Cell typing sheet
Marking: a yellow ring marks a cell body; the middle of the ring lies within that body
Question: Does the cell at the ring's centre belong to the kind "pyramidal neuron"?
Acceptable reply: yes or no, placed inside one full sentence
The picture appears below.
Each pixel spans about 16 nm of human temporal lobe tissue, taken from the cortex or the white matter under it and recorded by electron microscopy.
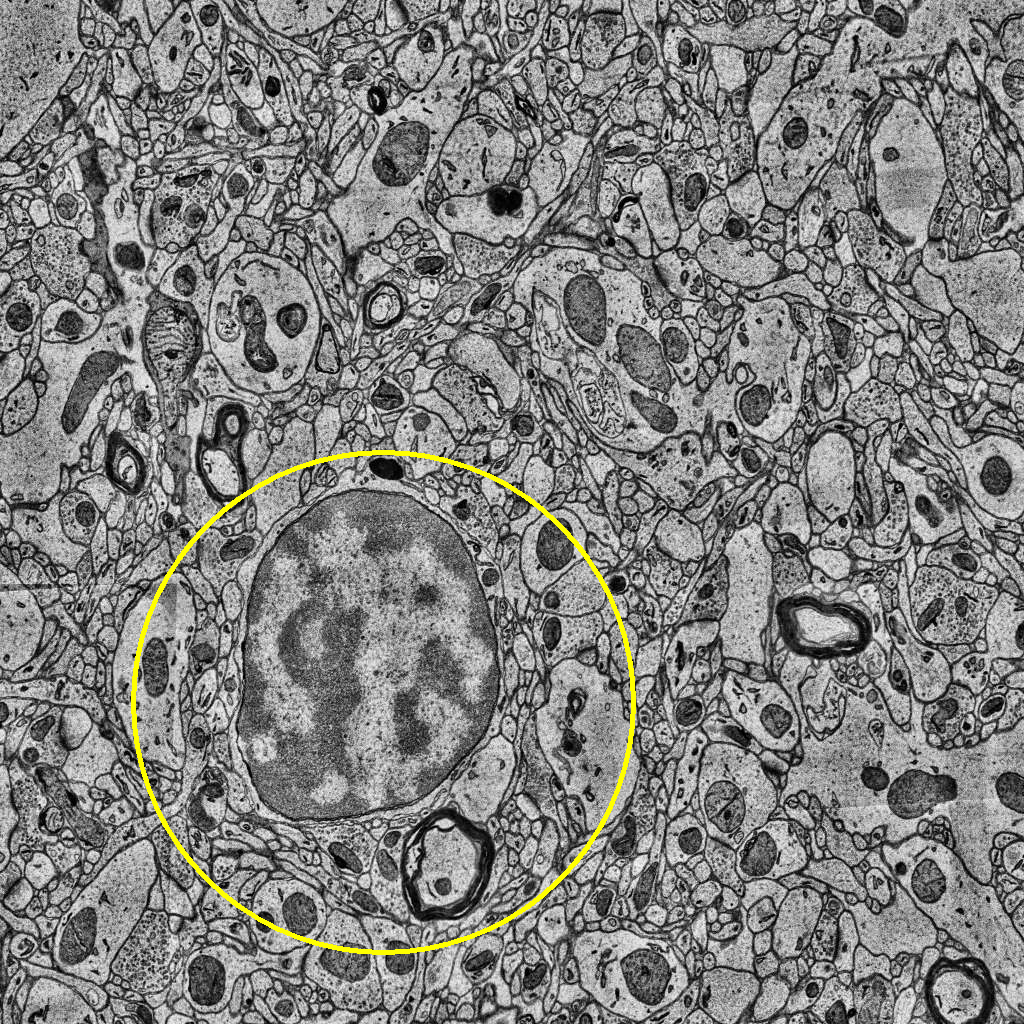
No, the cell at the centre of the ring belongs to a different kind.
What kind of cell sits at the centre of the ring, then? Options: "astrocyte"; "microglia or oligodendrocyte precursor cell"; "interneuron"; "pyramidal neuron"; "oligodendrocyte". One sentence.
Instead, the picture shows a microglial cell or oligodendrocyte precursor cell at the centre of the ring.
